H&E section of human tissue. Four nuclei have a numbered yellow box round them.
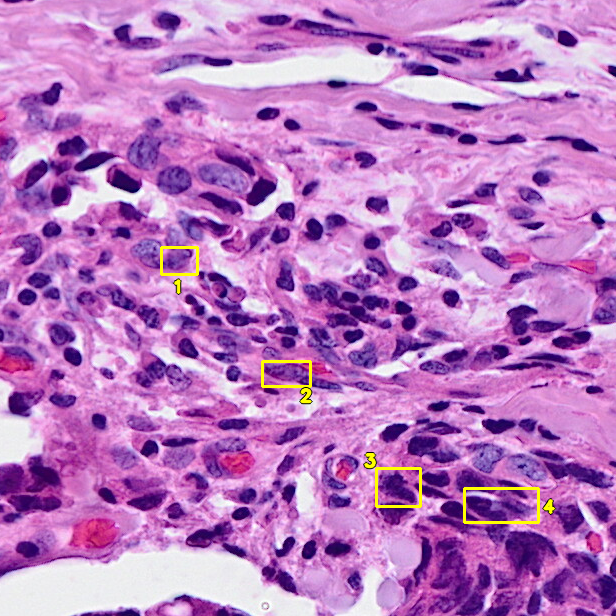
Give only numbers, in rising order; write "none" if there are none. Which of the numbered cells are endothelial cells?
1, 2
